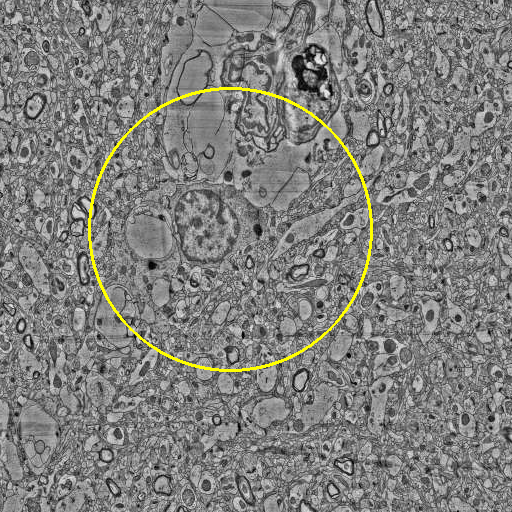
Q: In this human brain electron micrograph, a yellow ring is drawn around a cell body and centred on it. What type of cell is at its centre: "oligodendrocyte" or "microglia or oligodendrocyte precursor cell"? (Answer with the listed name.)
oligodendrocyte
